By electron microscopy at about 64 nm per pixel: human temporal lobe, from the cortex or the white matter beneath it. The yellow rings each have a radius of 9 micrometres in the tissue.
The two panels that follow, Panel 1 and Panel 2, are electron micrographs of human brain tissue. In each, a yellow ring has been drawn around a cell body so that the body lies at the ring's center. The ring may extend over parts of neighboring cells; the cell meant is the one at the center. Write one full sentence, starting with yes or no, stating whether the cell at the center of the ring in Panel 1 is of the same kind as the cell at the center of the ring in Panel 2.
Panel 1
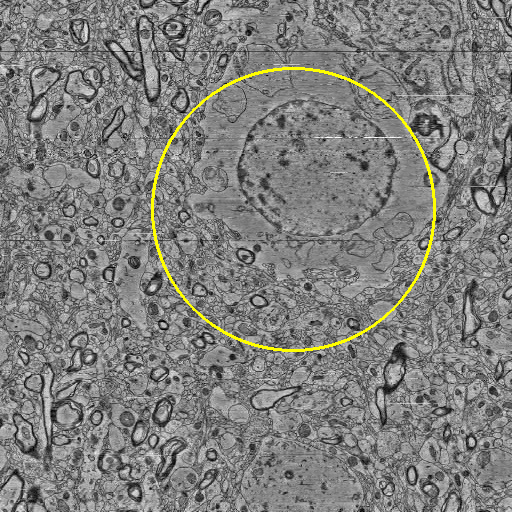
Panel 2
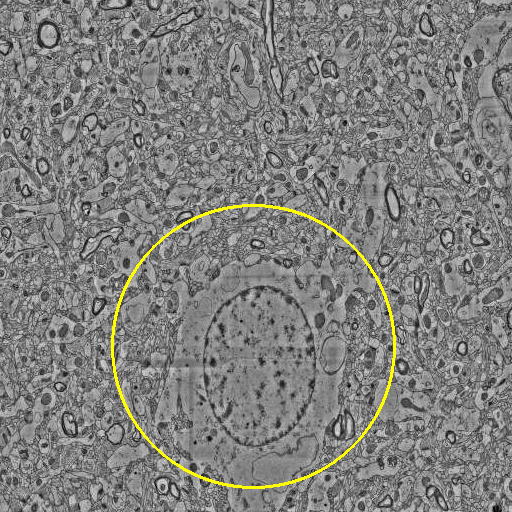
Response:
Yes, the cells in both panels are of the same kind.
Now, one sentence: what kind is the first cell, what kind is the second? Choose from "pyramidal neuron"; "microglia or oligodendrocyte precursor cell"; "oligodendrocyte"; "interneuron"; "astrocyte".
In the first picture and in the second, the ring is centred on an astrocyte.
